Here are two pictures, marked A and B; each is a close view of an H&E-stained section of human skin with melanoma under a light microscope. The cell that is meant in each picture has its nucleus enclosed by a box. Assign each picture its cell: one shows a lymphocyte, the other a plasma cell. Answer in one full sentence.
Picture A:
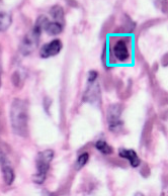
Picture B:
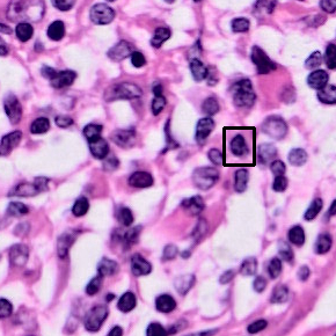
Picture A is of a plasma cell, and picture B is of a lymphocyte.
